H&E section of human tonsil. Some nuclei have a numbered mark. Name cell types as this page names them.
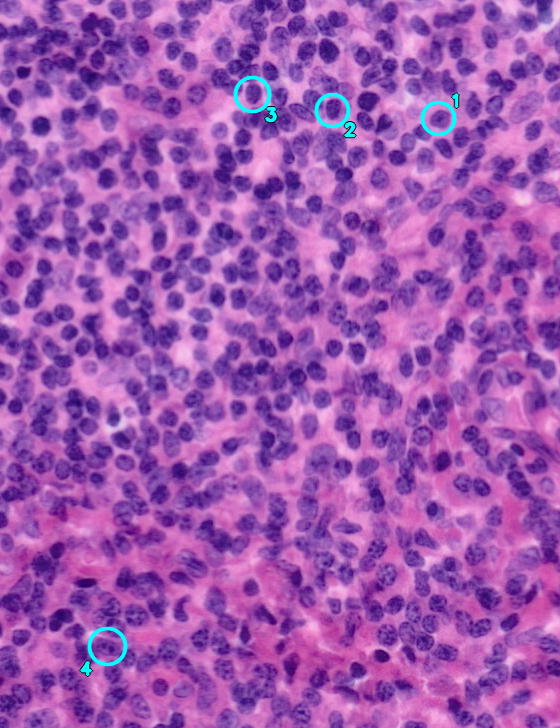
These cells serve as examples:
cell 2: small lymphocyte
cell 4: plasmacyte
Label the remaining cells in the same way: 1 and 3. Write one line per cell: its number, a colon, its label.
1: small lymphocyte
3: small lymphocyte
